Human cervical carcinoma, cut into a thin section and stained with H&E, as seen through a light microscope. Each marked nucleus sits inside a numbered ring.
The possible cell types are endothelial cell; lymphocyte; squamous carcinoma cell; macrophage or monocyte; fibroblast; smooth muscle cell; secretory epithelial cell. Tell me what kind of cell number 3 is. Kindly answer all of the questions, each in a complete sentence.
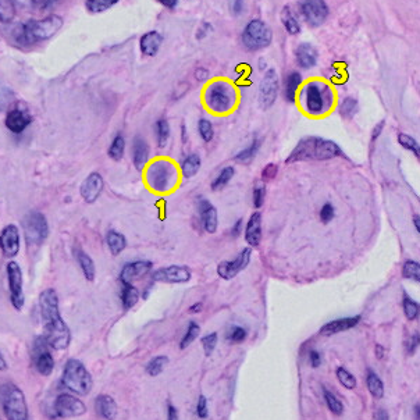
Corresponding to a lymphocyte is the cell labelled 3.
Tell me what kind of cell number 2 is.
Among the marked cells, number 2 is a smooth muscle cell.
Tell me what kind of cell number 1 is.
The numbered cell 1 in this field is a smooth muscle cell.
